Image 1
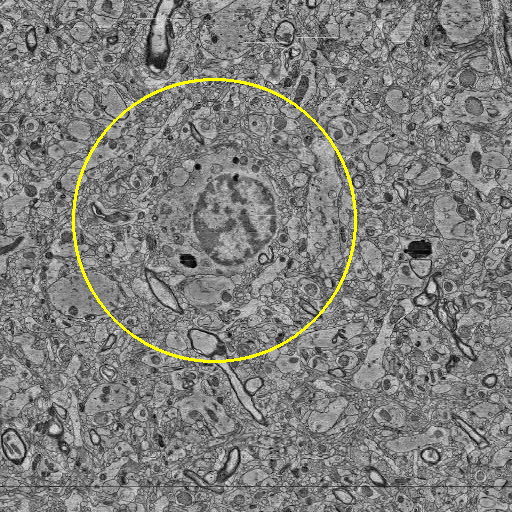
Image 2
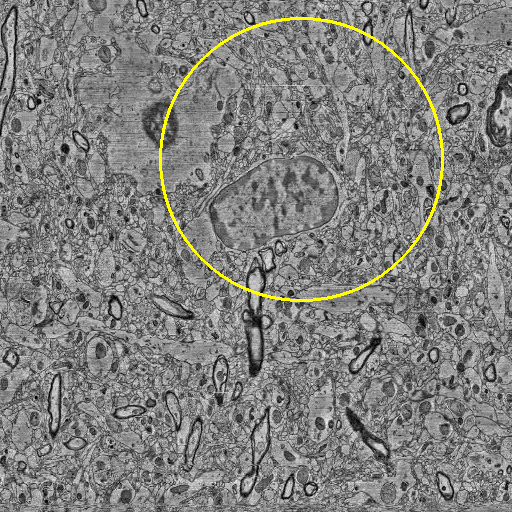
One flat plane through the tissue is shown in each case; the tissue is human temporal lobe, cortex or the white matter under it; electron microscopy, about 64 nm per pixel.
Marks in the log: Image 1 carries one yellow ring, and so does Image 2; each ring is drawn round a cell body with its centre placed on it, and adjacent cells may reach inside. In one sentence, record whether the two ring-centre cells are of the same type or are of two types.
The two cells at the ring centres, one in each image, are of two types.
